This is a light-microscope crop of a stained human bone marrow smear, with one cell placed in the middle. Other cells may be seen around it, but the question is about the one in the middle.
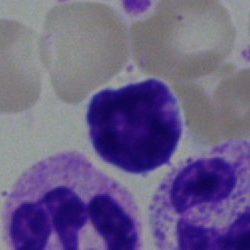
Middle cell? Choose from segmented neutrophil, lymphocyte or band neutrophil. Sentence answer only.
Present in the middle of the crop is a lymphocyte.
